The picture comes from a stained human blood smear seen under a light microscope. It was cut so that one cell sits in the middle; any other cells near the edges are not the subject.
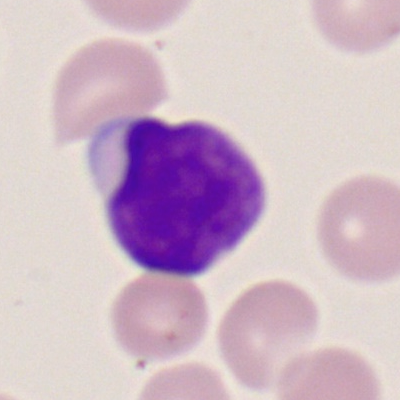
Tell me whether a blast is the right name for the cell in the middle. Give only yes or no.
yes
